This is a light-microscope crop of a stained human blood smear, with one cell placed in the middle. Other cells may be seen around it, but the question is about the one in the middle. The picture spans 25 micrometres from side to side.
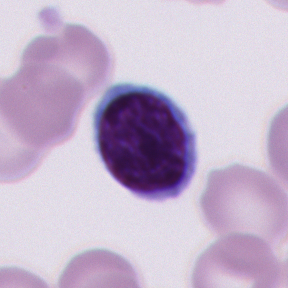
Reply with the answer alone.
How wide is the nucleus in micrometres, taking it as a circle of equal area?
8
